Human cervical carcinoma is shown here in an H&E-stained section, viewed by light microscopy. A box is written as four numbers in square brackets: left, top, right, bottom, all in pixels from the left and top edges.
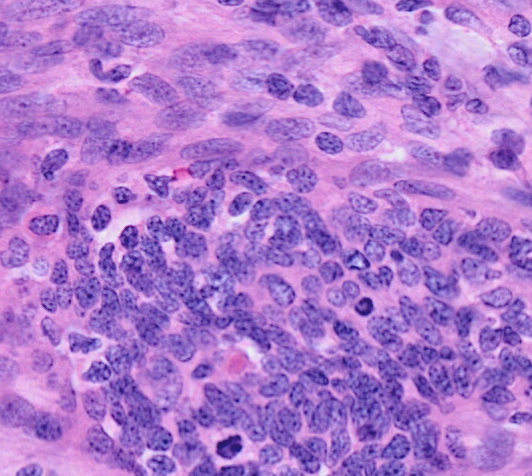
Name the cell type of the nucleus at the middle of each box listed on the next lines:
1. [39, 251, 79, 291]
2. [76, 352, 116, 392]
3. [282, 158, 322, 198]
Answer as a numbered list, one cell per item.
1. squamous carcinoma cell
2. lymphocyte
3. squamous carcinoma cell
